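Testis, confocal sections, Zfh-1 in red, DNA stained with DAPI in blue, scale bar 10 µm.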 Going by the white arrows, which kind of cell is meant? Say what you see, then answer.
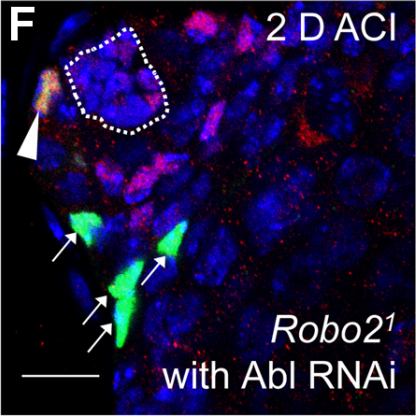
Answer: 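The arrows point to bright green, elongated, wedge-shaped cells. These cells lie a few cell diameters away from the outlined cluster at the tip.
Conclusion: cyst cell daughter cells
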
